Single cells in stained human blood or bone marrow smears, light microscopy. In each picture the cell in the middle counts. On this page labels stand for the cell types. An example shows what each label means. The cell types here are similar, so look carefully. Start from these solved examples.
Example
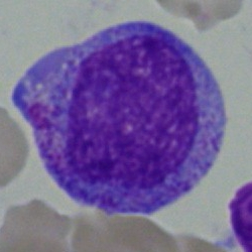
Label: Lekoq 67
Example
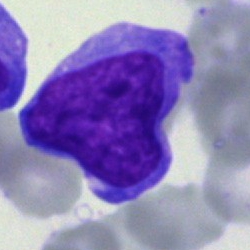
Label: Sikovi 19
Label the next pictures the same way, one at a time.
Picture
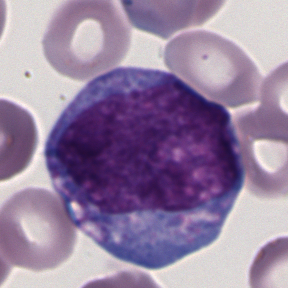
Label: Lekoq 67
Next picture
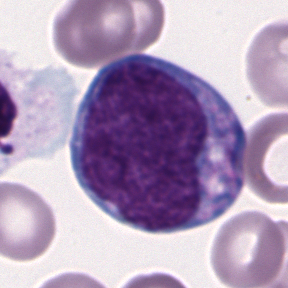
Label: Lekoq 67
